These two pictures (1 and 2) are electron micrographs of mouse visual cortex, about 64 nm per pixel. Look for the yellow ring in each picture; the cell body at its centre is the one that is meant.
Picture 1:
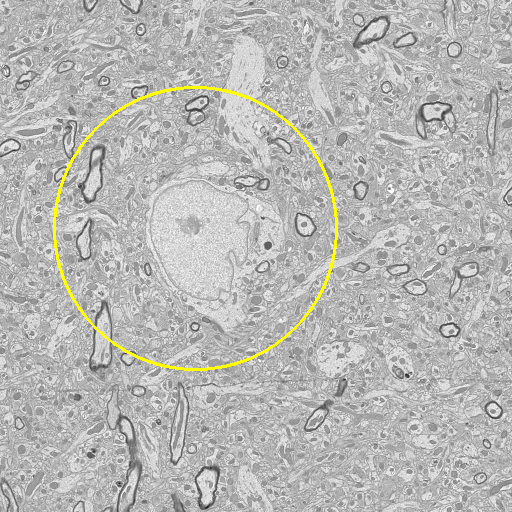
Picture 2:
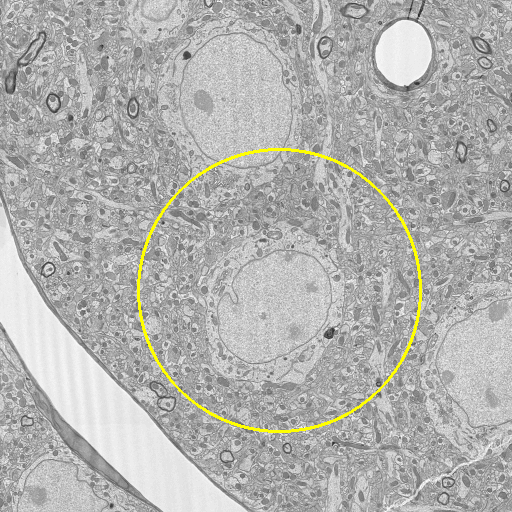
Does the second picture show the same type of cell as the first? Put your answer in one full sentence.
No, picture 1 shows an inhibitory neuron and picture 2 shows an excitatory neuron.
